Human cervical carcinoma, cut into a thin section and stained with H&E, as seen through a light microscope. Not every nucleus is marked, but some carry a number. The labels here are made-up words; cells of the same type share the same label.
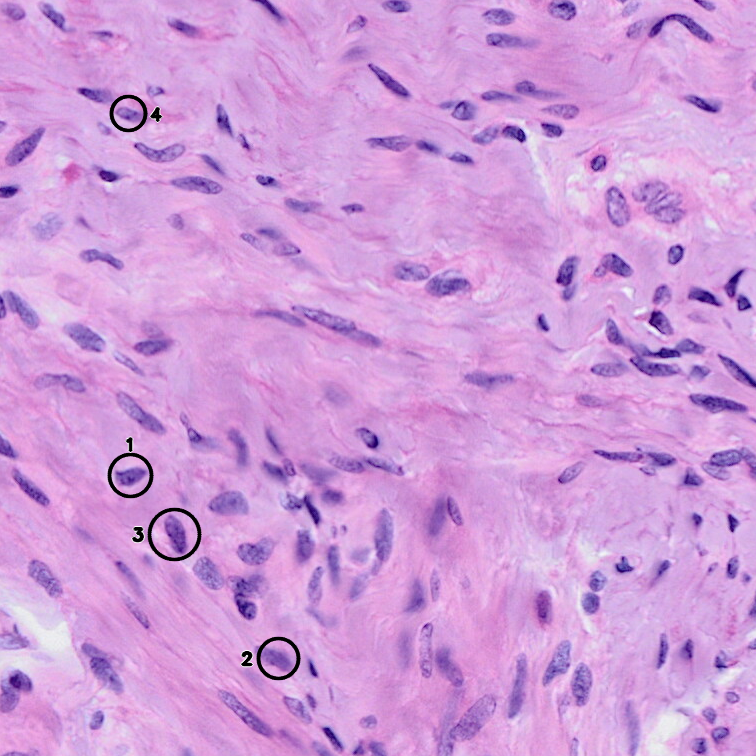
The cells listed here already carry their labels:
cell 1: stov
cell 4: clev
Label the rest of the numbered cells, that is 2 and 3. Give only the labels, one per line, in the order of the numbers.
stov
stov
